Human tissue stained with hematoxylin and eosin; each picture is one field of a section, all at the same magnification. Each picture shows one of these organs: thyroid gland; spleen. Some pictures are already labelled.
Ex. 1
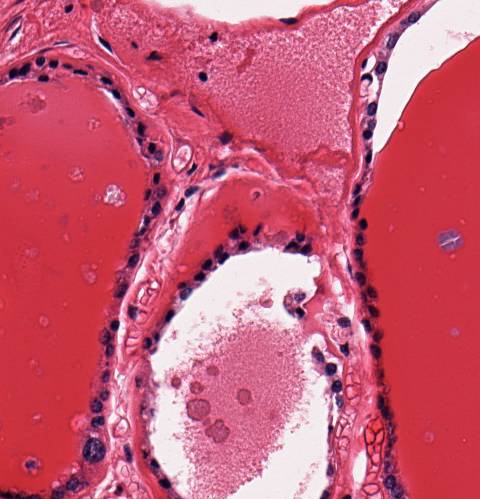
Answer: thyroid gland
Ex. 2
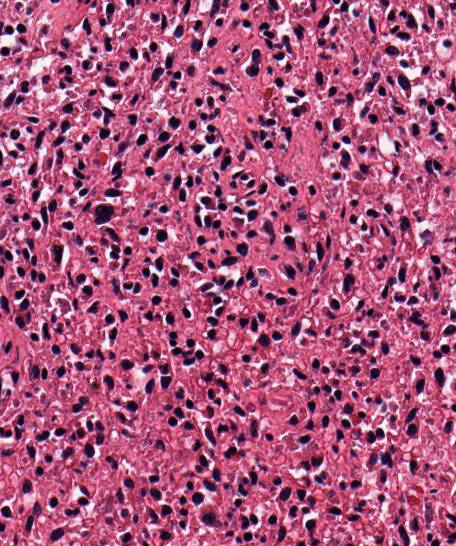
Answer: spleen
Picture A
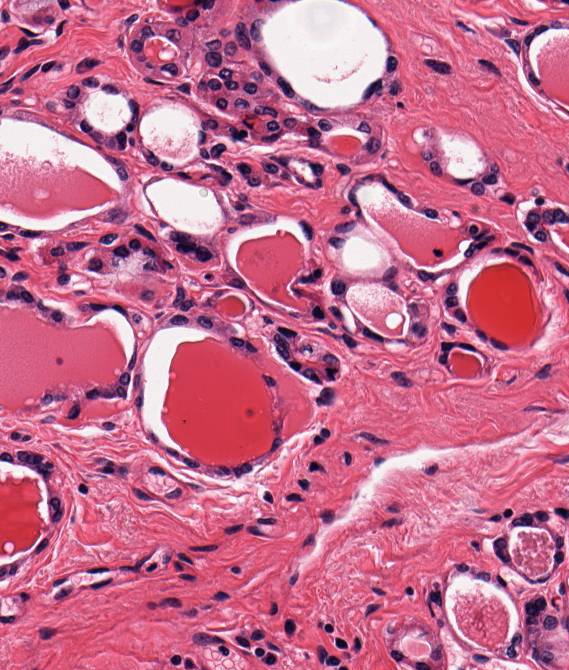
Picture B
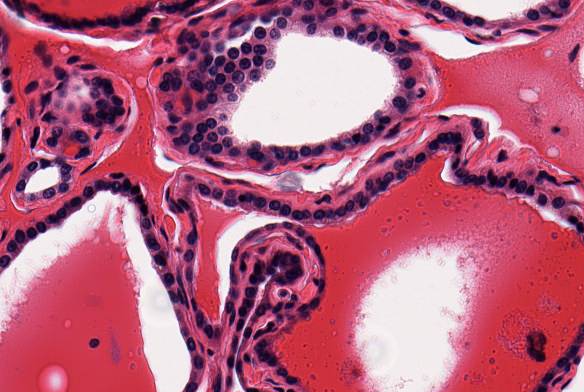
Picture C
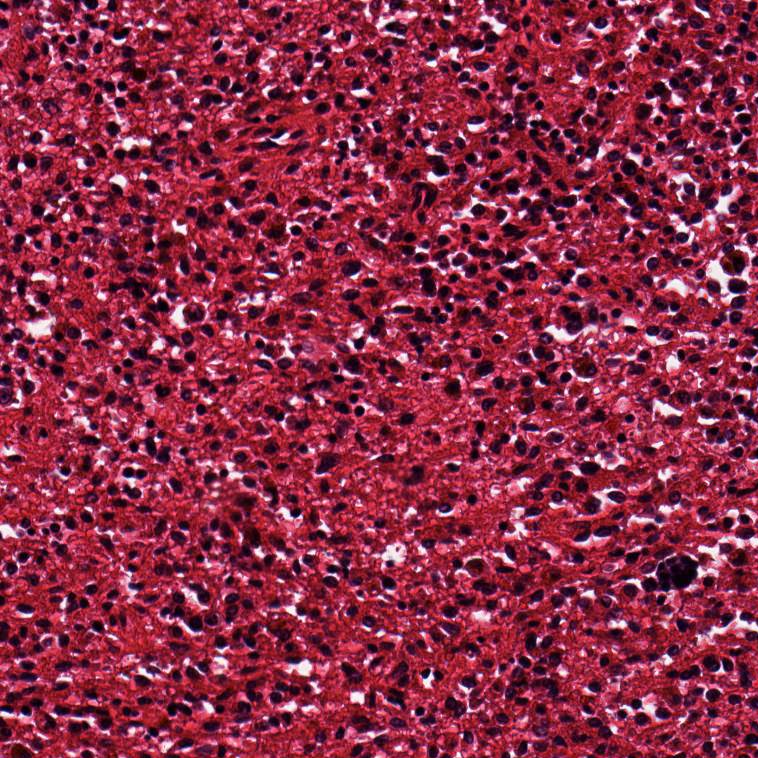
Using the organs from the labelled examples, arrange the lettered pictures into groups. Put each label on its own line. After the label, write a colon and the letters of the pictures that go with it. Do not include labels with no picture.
thyroid gland: A, B
spleen: C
